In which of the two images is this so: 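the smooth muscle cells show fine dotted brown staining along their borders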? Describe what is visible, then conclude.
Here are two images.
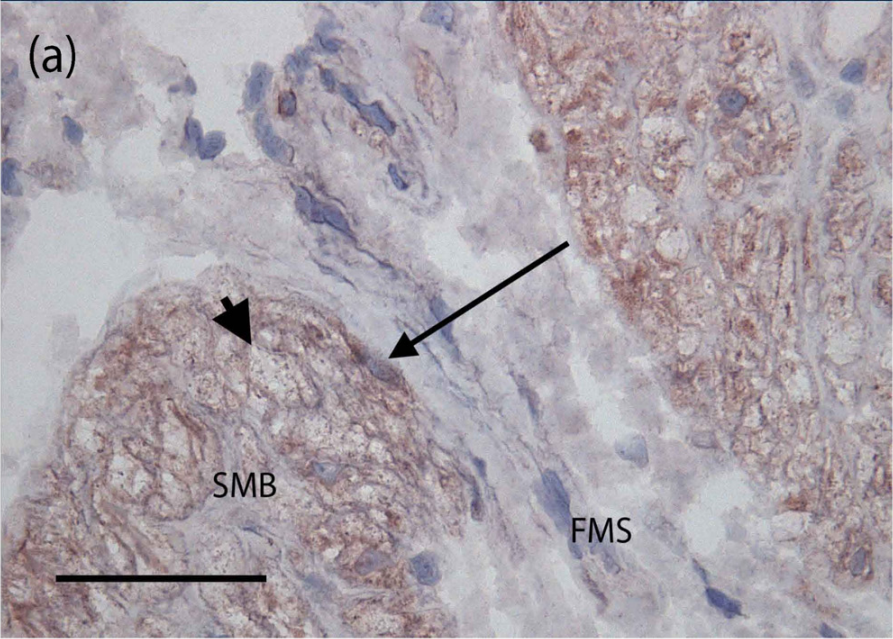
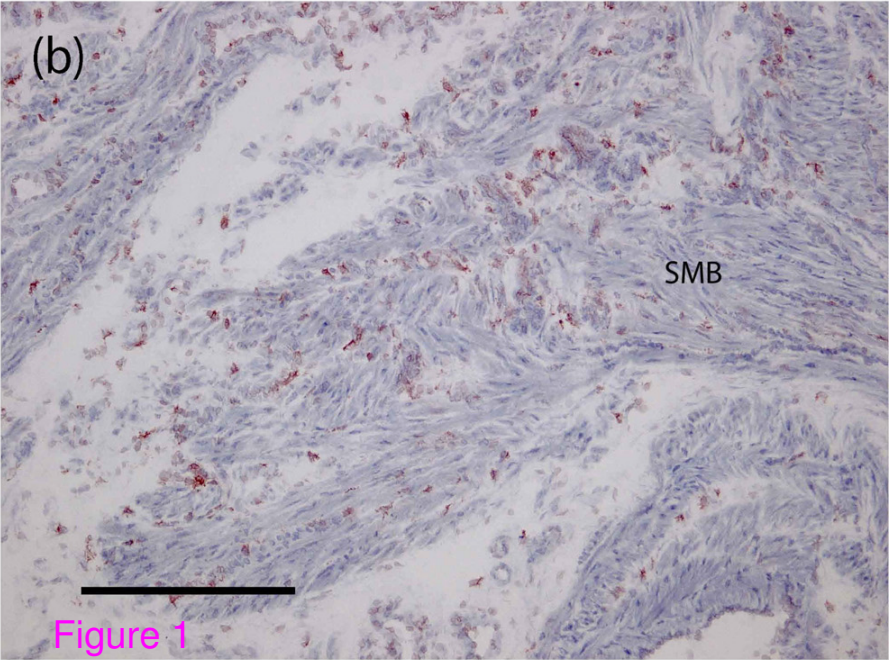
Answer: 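Second image: the spindle-shaped cells of the bundles are mostly blue, with brown only in scattered separate cells. First image: the cells within the bundles are outlined by dense fine brown dots. That points to this answer: the first image.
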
